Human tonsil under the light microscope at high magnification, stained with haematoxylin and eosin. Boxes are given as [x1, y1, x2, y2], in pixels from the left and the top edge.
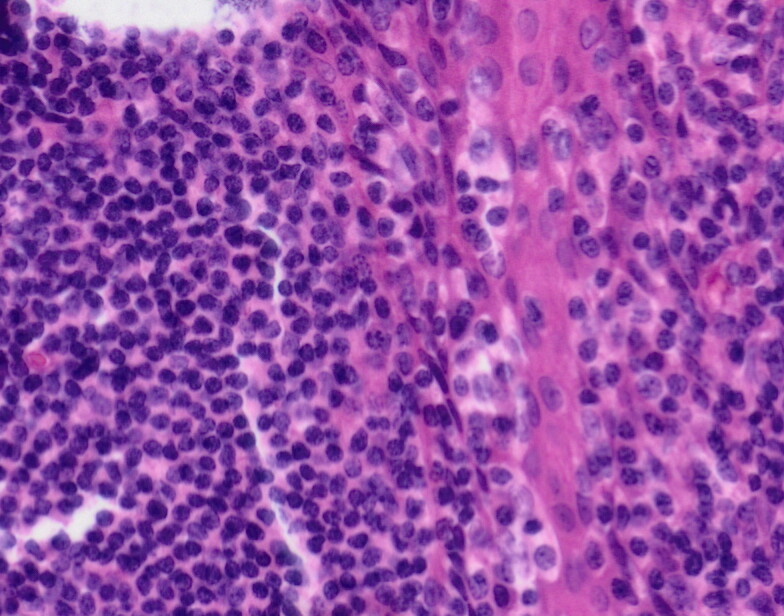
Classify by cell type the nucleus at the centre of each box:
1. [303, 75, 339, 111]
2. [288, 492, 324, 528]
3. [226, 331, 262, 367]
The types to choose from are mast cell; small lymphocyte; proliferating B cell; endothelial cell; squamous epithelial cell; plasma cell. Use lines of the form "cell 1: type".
cell 1: plasma cell
cell 2: small lymphocyte
cell 3: small lymphocyte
